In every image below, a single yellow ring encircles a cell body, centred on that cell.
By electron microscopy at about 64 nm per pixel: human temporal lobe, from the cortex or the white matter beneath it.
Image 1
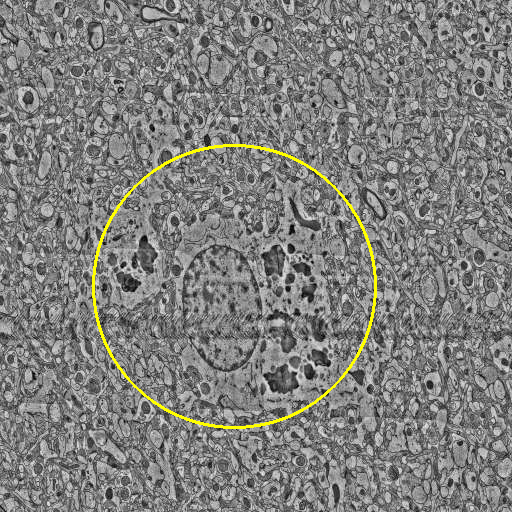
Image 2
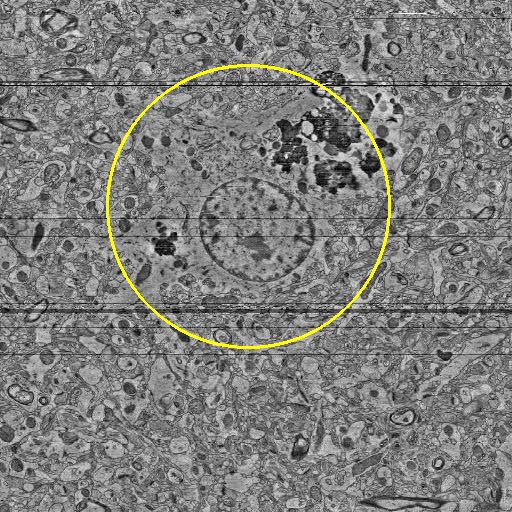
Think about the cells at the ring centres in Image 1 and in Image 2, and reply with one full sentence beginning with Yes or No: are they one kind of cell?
Yes, the cells centred in the rings of Image 1 and Image 2 are one kind of cell.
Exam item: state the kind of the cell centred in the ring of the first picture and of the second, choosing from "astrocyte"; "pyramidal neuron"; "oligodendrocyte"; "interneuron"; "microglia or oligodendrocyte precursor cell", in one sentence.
Both pictures show an astrocyte at the centre of the ring.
